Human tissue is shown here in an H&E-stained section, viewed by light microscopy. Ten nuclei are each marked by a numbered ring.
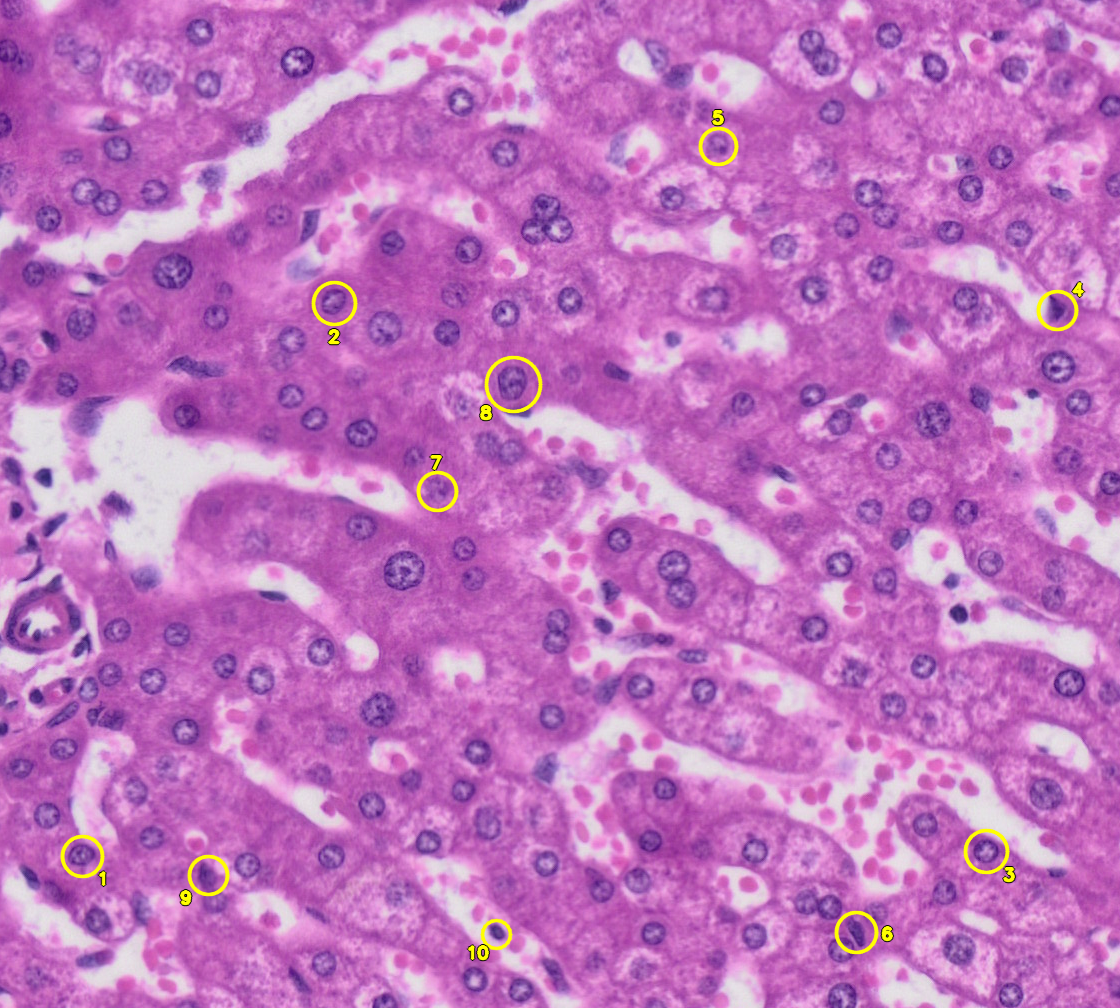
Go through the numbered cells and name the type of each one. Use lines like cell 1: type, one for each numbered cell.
cell 1: hepatocyte
cell 2: hepatocyte
cell 3: hepatocyte
cell 4: endothelial cell
cell 5: hepatocyte
cell 6: fibroblast or stellate cell
cell 7: hepatocyte
cell 8: hepatocyte
cell 9: fibroblast or stellate cell
cell 10: lymphocyte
